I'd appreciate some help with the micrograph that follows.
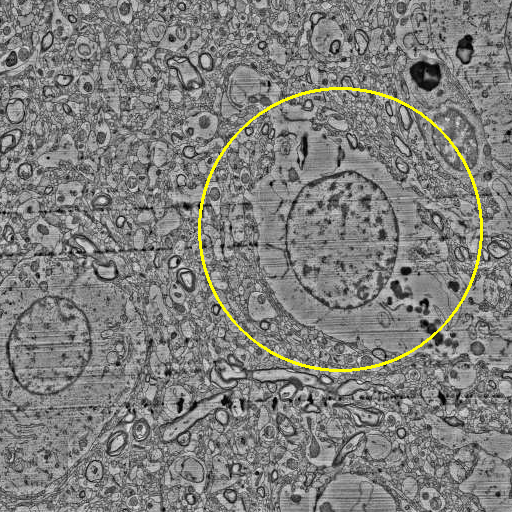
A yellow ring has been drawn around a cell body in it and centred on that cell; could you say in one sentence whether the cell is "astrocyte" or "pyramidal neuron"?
It is an astrocyte at the centre of the ring.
